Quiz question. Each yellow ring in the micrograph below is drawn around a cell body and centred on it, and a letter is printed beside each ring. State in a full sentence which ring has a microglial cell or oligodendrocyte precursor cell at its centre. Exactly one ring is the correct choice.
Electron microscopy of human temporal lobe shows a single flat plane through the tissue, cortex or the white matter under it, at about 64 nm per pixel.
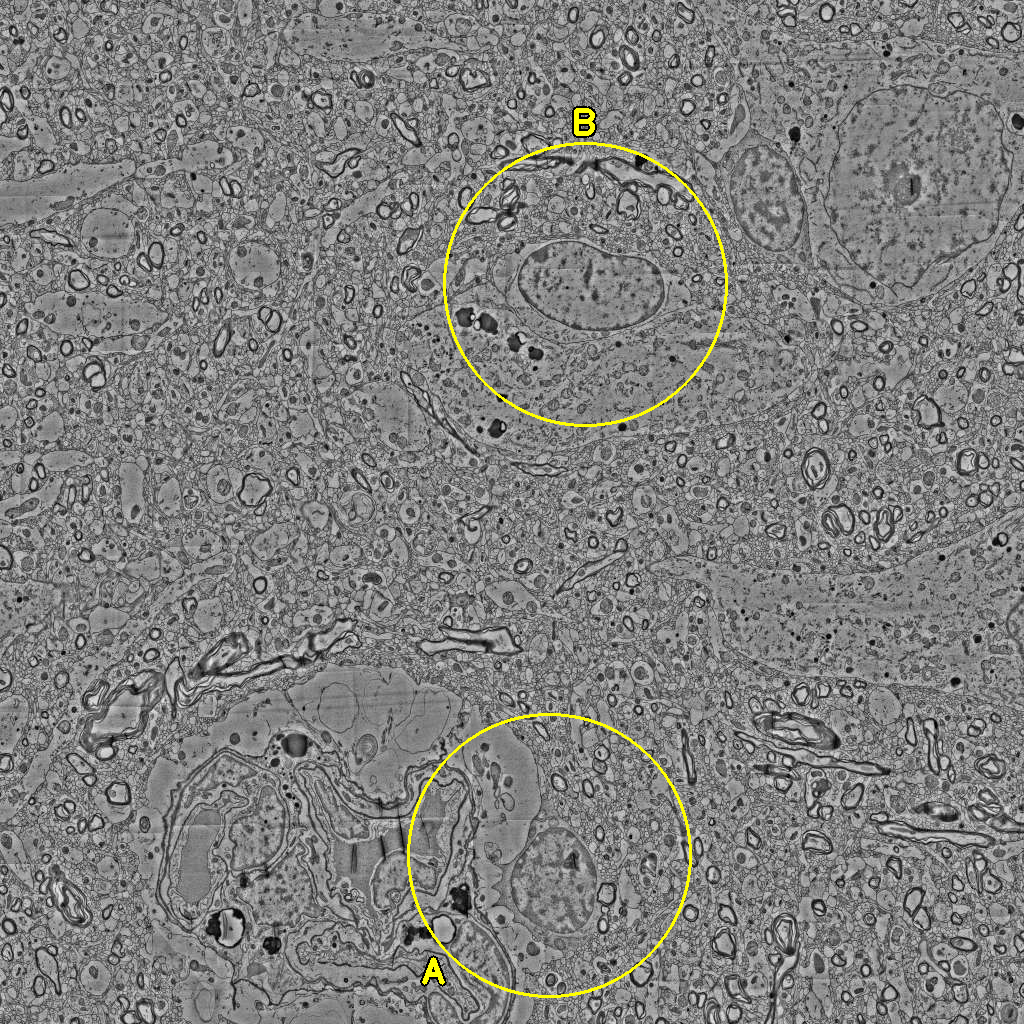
The correct ring is ring B.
